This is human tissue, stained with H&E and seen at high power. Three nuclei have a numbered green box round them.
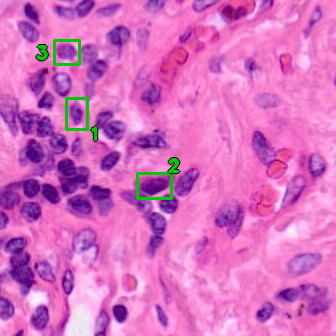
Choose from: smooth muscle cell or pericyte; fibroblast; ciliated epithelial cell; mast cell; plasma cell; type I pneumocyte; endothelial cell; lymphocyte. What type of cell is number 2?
plasma cell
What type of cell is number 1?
lymphocyte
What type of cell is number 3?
lymphocyte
